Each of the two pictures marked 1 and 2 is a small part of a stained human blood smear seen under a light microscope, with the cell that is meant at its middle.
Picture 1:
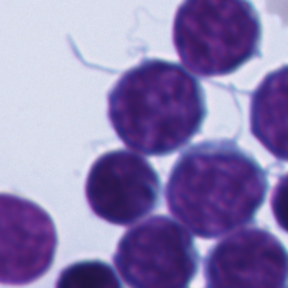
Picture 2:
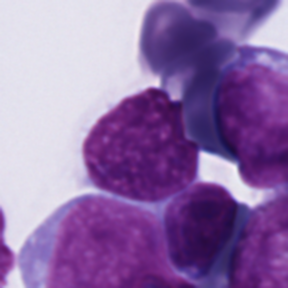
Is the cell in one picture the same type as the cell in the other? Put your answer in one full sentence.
Yes, both are myeloblasts.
